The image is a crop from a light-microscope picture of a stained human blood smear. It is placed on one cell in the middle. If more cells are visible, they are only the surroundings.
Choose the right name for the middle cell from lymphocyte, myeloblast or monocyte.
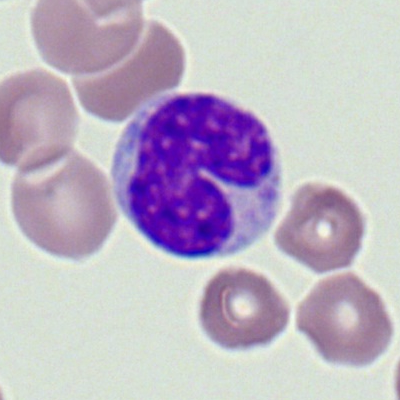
monocyte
